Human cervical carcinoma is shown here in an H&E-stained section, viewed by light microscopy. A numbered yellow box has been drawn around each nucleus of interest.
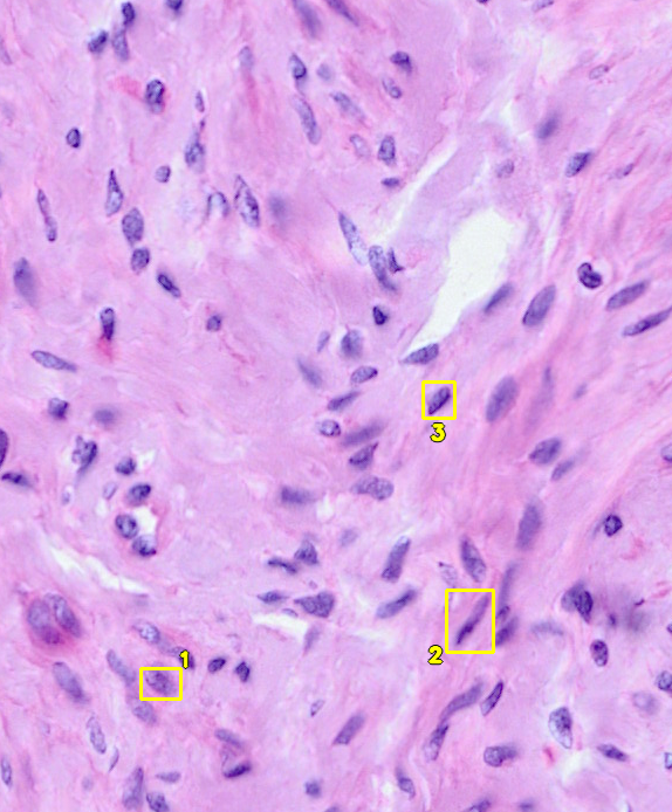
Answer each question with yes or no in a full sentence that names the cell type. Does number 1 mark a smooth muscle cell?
Yes, the numbered cell 1 is a smooth muscle cell.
